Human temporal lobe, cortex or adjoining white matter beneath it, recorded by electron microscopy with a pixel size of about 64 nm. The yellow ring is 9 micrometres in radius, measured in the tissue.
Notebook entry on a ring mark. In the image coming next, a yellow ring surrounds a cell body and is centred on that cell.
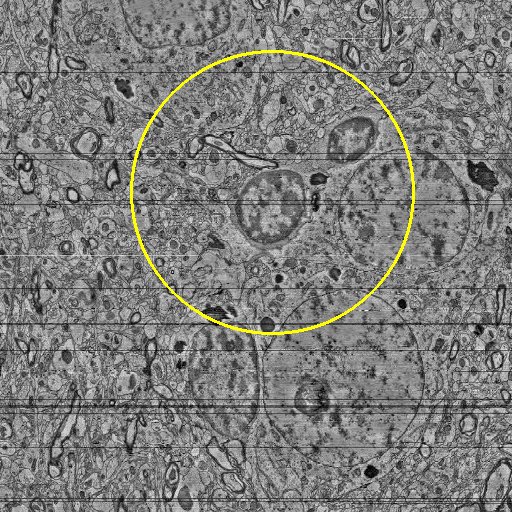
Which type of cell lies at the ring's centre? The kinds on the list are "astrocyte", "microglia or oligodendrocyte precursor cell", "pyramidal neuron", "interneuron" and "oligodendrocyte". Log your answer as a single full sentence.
Centred in the yellow ring is an oligodendrocyte, the cell recorded for this image.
